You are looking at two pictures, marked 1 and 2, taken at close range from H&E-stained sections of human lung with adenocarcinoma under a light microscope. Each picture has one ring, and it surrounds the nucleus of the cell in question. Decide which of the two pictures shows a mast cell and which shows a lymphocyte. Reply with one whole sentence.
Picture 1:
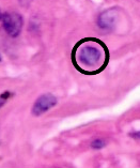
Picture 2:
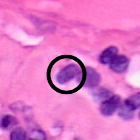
Picture 2 shows a lymphocyte, while picture 1 shows a mast cell.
